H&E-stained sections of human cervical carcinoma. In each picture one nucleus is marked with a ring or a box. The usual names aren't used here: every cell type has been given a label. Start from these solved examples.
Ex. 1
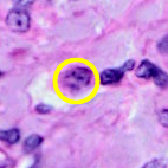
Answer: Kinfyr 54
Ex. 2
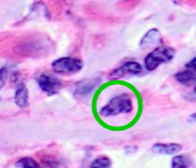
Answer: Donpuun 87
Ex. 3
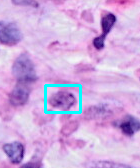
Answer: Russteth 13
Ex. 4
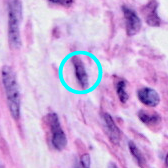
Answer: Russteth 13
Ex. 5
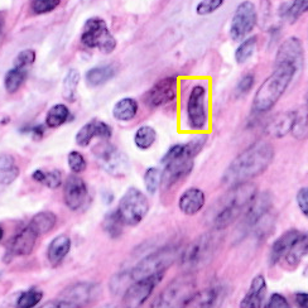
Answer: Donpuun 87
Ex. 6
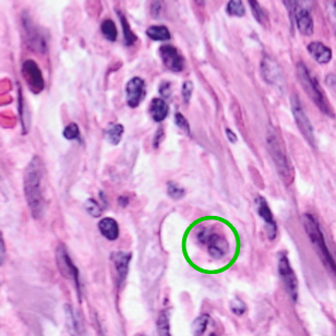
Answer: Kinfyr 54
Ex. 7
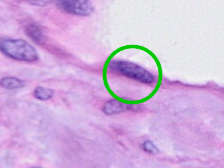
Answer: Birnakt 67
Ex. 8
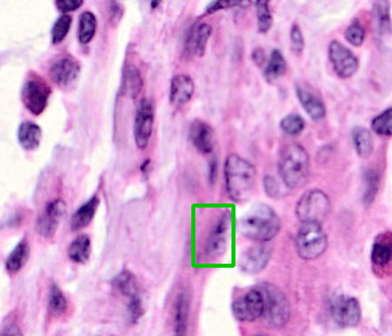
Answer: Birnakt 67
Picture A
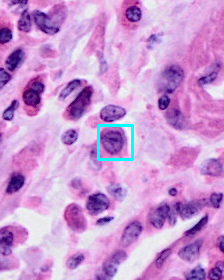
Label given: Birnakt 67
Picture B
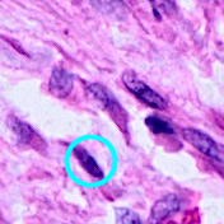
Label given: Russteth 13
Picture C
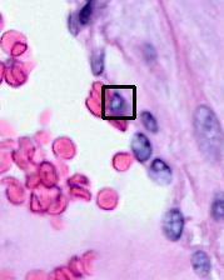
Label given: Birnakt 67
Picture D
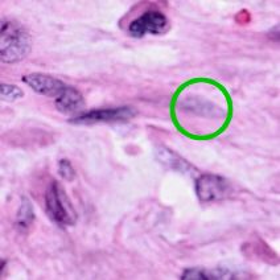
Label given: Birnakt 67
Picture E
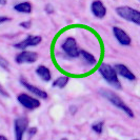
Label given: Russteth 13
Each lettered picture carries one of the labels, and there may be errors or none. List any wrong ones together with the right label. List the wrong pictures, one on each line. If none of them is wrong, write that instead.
A: Kinfyr 54, not Birnakt 67
D: Russteth 13, not Birnakt 67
